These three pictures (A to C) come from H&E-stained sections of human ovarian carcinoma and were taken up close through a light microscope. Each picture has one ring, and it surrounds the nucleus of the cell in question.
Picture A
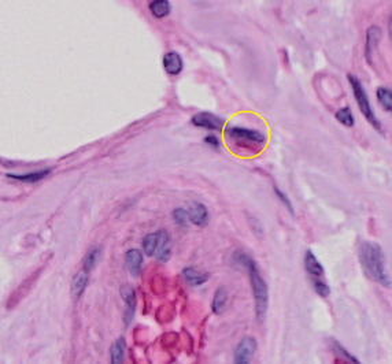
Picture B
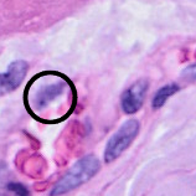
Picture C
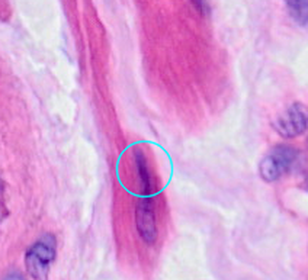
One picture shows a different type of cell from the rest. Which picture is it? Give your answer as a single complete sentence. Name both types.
The others show endothelial cells, but picture C shows a smooth muscle cell.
